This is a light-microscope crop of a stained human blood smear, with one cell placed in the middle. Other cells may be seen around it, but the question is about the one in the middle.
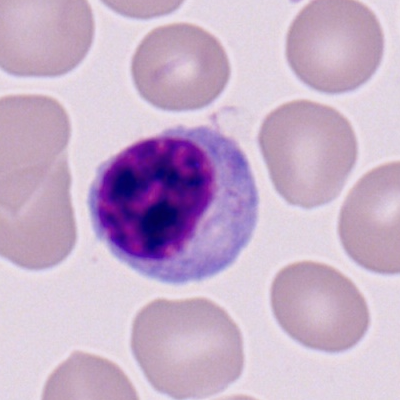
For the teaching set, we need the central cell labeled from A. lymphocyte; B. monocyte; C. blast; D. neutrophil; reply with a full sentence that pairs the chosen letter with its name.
Identified correctly by option A, the cell in the middle is a lymphocyte.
